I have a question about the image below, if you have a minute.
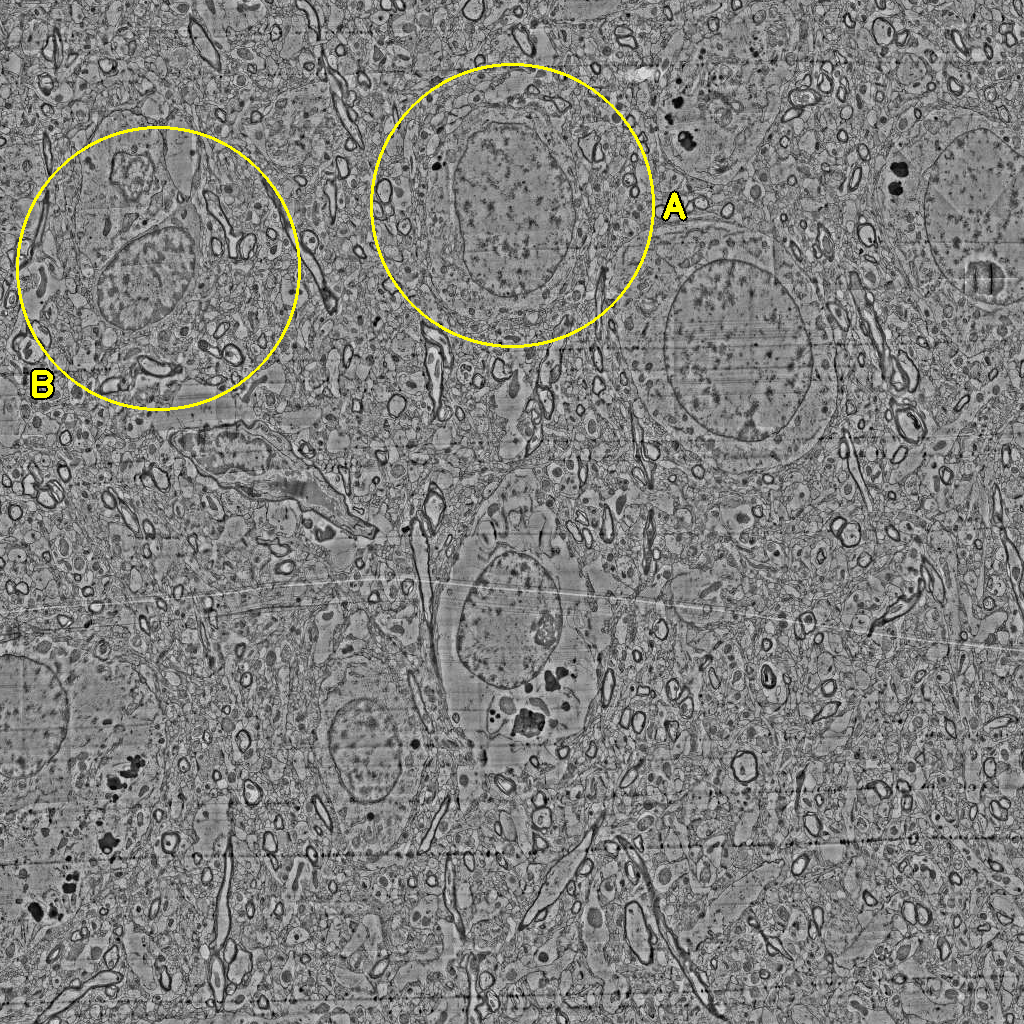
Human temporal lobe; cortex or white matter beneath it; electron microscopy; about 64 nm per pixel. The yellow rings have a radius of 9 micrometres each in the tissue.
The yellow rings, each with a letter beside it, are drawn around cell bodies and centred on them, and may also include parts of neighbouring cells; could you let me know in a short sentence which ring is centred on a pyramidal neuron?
Ring A is centred on it.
